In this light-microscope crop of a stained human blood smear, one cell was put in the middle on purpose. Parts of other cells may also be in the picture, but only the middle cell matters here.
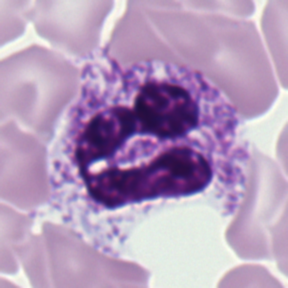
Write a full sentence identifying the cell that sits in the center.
Centred in the crop is a segmented neutrophil.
